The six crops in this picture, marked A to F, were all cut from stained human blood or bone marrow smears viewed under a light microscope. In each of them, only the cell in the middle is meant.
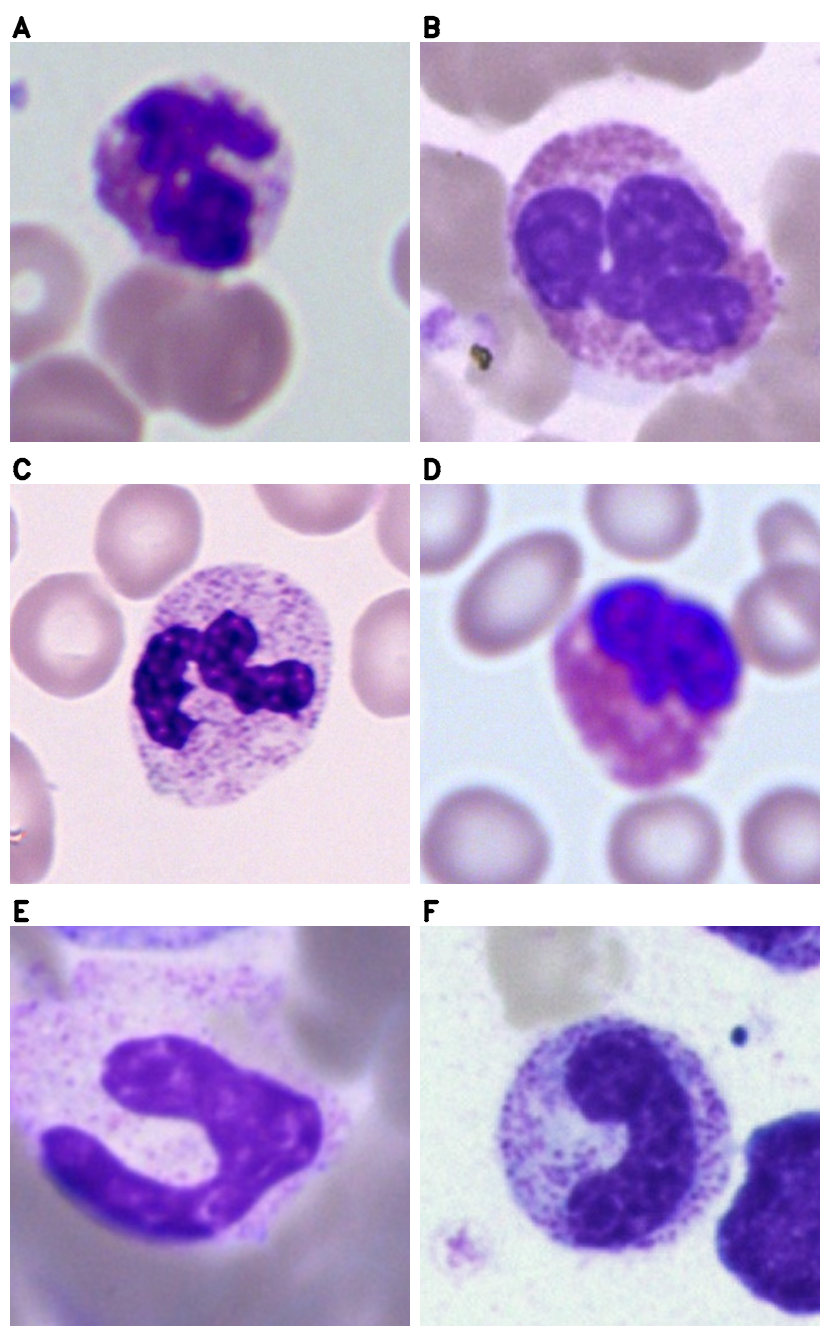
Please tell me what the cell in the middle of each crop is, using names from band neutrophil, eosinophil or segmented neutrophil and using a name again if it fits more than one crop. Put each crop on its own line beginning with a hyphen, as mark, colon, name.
- A: eosinophil
- B: eosinophil
- C: segmented neutrophil
- D: eosinophil
- E: segmented neutrophil
- F: band neutrophil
